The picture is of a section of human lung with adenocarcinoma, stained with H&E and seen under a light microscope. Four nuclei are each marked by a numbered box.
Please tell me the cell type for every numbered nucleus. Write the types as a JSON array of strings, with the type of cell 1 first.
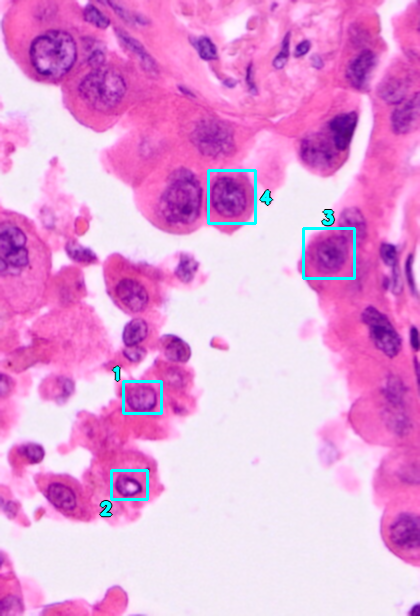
["macrophage or monocyte", "macrophage or monocyte", "carcinoma cell", "carcinoma cell"]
